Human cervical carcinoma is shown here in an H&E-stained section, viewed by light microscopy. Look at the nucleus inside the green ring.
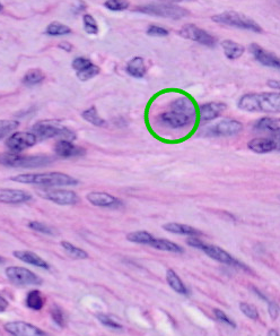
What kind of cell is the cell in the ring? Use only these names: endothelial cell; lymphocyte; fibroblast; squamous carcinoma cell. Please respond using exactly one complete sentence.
As classified here, the cell in the ring is an endothelial cell.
